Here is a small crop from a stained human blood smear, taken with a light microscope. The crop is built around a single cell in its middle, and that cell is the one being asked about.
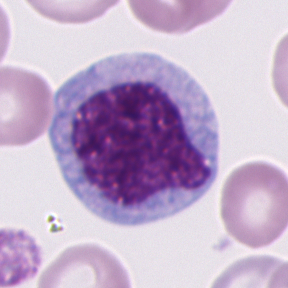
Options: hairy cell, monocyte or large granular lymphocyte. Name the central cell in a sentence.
The cell occupying the middle of the crop is a monocyte.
